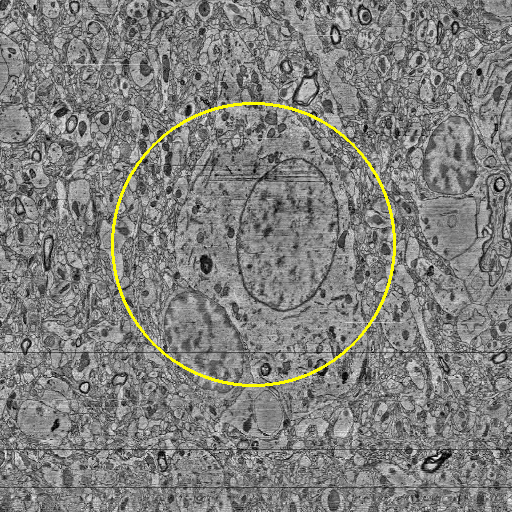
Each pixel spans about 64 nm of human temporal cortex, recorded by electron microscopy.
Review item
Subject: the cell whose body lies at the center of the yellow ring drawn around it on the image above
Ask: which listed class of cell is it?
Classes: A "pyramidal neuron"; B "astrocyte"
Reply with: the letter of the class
A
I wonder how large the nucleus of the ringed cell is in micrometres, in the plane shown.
The nucleus is approximately 10 micrometres long but only about 7 wide, clearly longer than it is wide in this plane.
